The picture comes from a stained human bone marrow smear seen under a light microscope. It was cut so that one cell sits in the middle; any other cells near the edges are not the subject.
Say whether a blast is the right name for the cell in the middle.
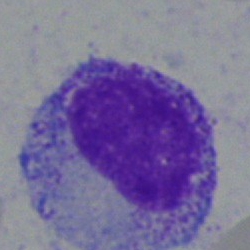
no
